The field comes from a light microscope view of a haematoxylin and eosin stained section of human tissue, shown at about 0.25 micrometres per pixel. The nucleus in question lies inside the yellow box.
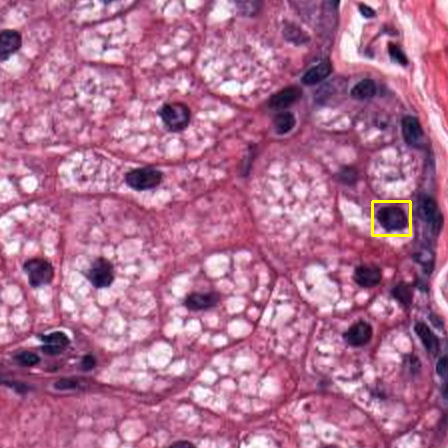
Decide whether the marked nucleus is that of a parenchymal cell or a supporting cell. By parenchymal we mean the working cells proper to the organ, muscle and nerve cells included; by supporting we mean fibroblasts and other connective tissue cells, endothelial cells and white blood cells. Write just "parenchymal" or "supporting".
parenchymal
